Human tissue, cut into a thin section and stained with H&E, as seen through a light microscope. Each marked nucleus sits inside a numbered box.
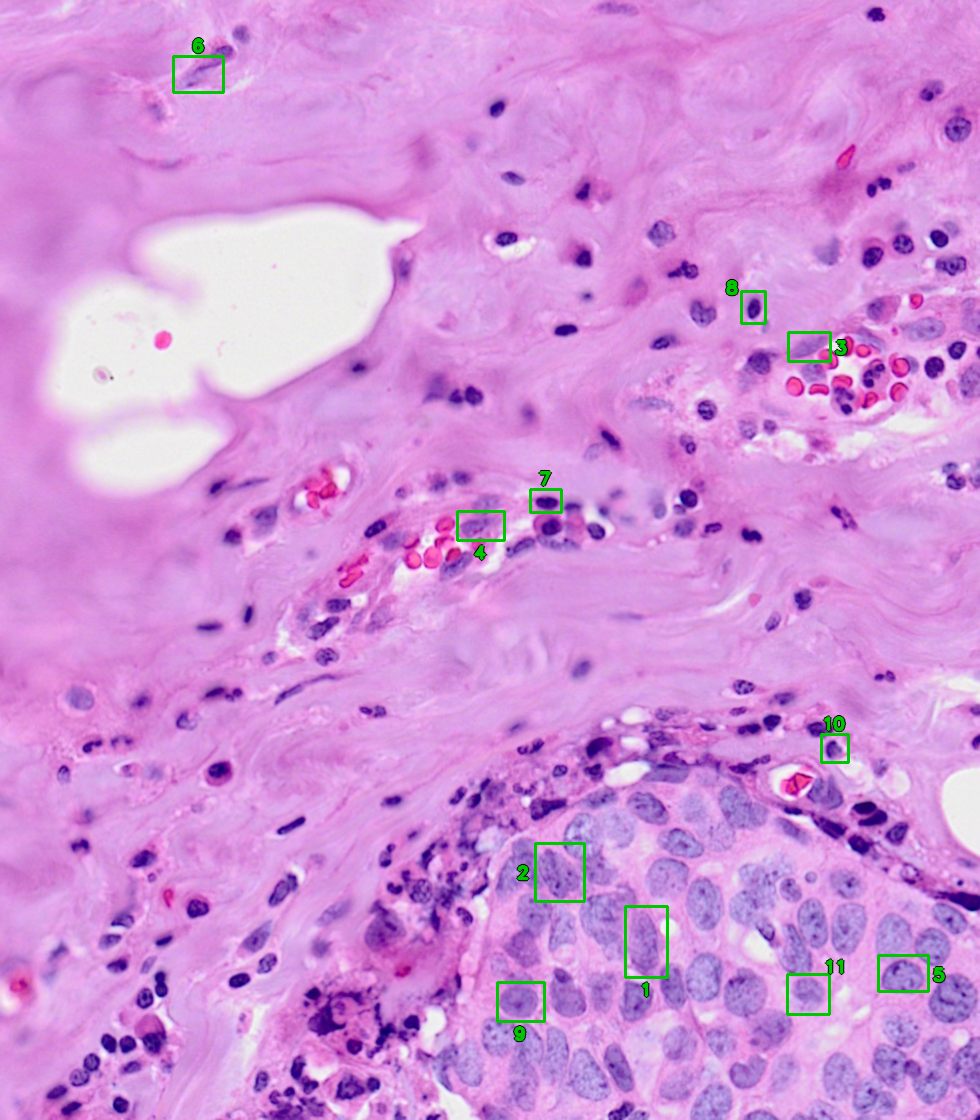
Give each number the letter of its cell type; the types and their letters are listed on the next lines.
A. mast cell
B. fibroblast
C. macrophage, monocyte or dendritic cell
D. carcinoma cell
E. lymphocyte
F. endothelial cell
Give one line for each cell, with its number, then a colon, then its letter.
1: D
2: D
3: F
4: F
5: D
6: B
7: E
8: E
9: D
10: E
11: D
